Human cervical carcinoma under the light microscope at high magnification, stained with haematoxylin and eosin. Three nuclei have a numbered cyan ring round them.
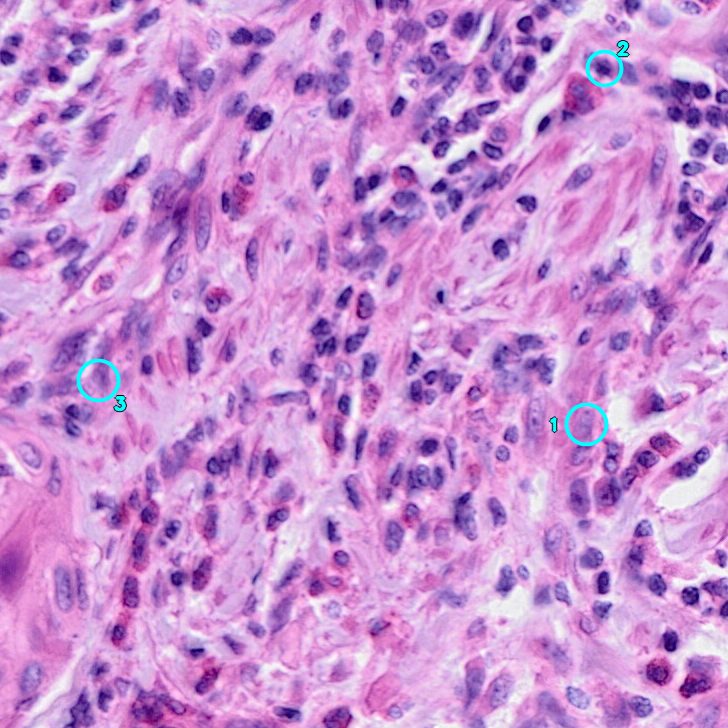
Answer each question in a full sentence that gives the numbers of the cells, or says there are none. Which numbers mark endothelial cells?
To be specific, the cells numbered 1 and 3 are endothelial cells.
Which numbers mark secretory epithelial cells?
Each numbered cell falls outside the category of secretory epithelial cells.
